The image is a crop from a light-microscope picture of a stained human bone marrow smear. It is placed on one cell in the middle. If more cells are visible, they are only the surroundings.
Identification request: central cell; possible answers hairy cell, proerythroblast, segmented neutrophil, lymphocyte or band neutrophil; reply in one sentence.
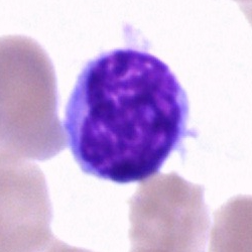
The cell at the centre of the field is a hairy cell.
